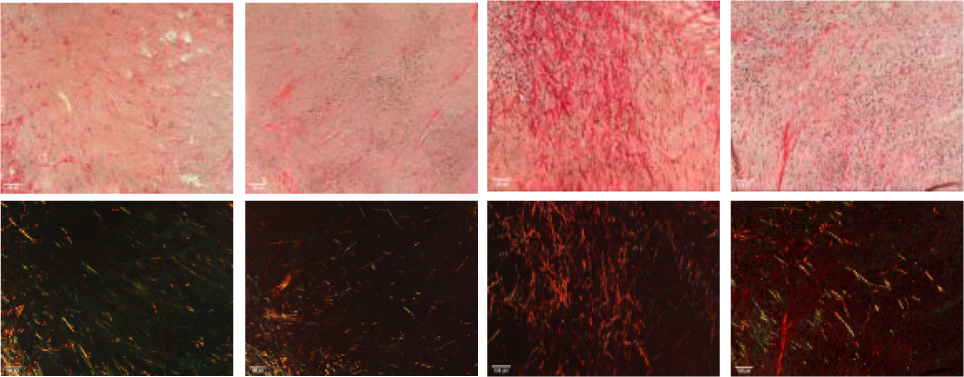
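In the upper row, the tissue is pale pink and densely cellular. Thin red strands cross it singly or in loose wavy bundles, and in some fields they are more crowded and a deeper red. The fibers shine as short bright strands, mostly orange to red with some yellow and green, and they follow the same wavy, scattered arrangement.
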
